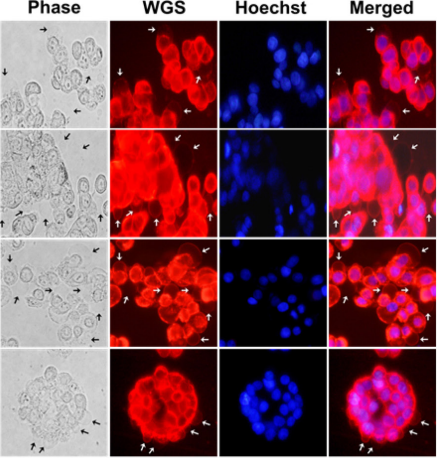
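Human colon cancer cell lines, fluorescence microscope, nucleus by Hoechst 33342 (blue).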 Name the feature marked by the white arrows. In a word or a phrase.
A: Membrane blebs.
